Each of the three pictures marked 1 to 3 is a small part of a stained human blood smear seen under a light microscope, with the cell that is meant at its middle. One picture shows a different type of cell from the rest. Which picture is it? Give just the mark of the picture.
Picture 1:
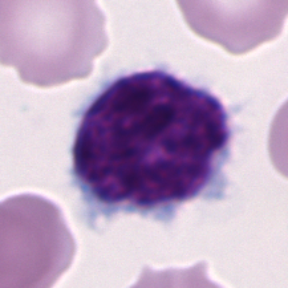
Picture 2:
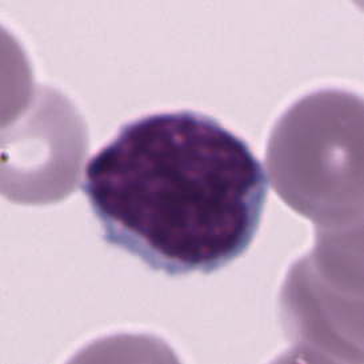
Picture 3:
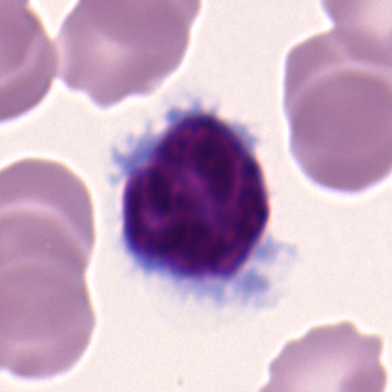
2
